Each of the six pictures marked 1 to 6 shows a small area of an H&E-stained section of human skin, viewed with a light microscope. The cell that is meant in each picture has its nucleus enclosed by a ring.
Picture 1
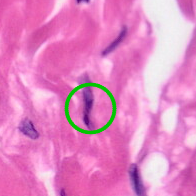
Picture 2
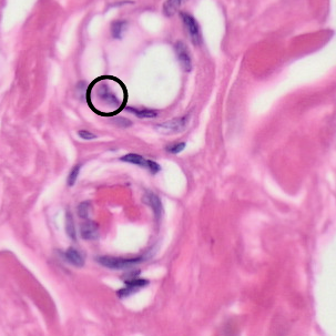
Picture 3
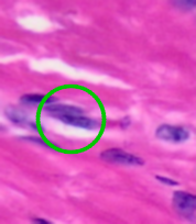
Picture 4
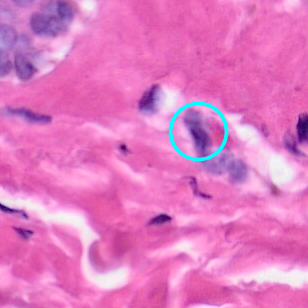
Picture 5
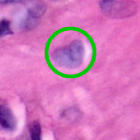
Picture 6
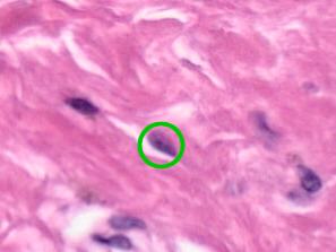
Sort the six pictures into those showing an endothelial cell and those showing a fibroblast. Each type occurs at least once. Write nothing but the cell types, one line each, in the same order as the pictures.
fibroblast
endothelial cell
endothelial cell
endothelial cell
fibroblast
fibroblast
